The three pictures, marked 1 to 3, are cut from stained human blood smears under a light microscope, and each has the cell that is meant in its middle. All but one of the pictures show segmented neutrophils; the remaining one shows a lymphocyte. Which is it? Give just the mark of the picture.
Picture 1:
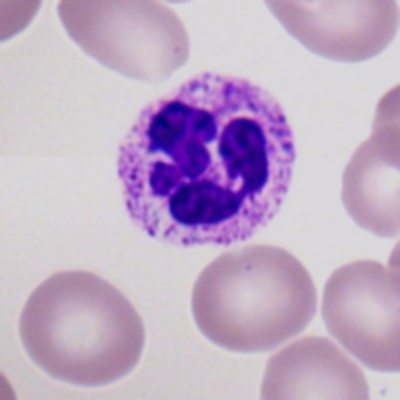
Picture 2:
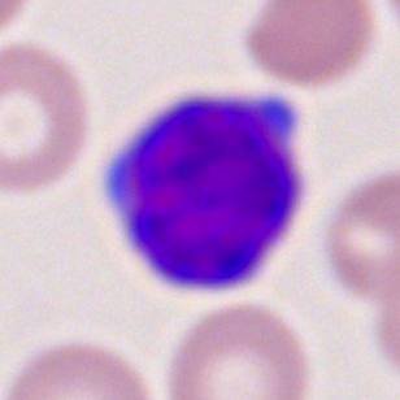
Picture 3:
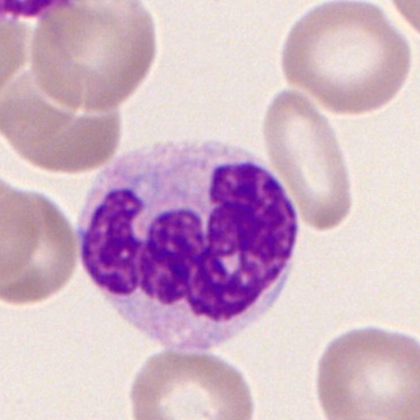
2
